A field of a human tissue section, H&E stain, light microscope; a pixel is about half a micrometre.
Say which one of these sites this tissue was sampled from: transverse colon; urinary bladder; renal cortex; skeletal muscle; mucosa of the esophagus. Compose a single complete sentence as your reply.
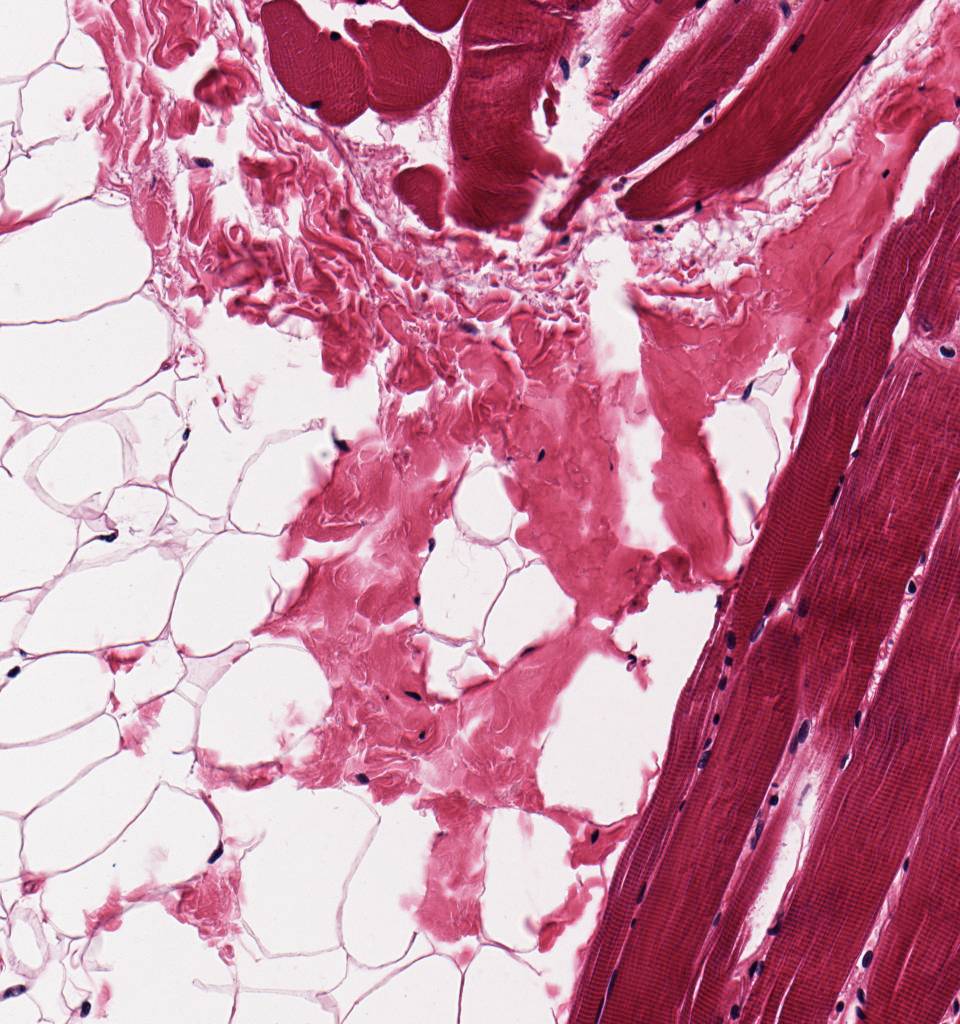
The source of this tissue sample is the skeletal muscle.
